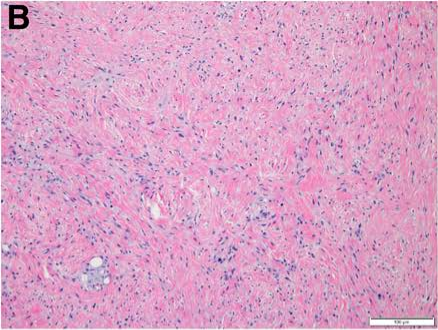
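This is a spindle cell tumor composed of oval to spindle-shaped cells set in abundant pink collagenous stroma. The nuclei are blue-purple, elongated to oval, and fairly bland, without marked crowding. A small pale, vacuolated focus near the lower left likely represents a bit of fat or loose tissue.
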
